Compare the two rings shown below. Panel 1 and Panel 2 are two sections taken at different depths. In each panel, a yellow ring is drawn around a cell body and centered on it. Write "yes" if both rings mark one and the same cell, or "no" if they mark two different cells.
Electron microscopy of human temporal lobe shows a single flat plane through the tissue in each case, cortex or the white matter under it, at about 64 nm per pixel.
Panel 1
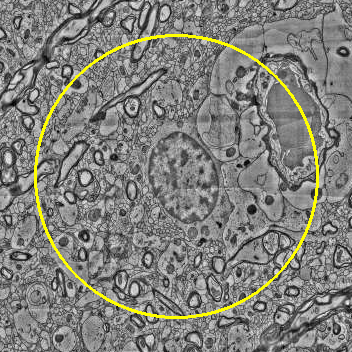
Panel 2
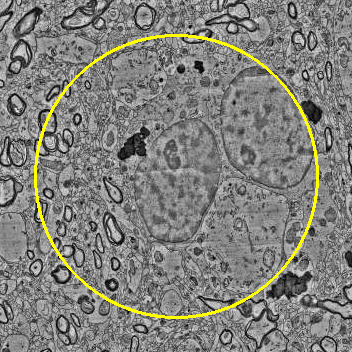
no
